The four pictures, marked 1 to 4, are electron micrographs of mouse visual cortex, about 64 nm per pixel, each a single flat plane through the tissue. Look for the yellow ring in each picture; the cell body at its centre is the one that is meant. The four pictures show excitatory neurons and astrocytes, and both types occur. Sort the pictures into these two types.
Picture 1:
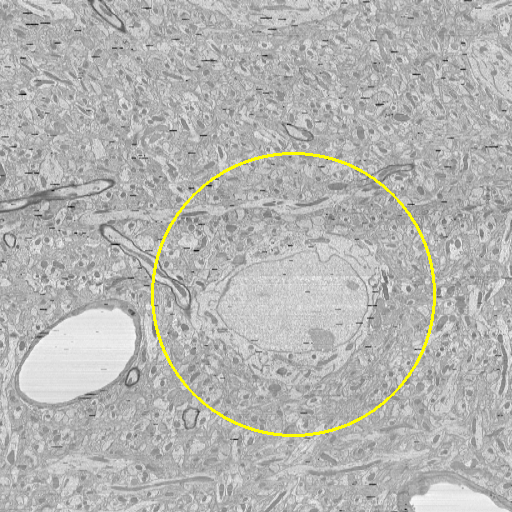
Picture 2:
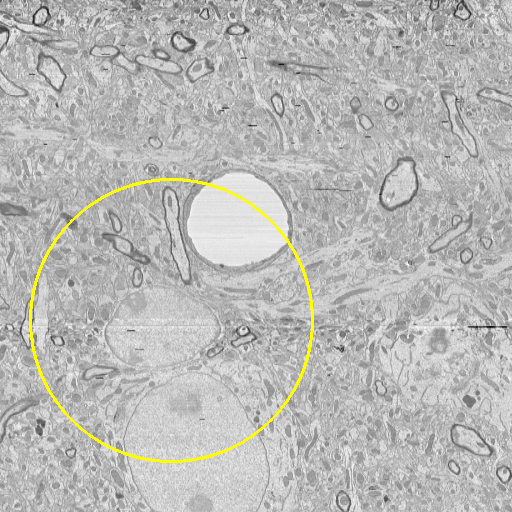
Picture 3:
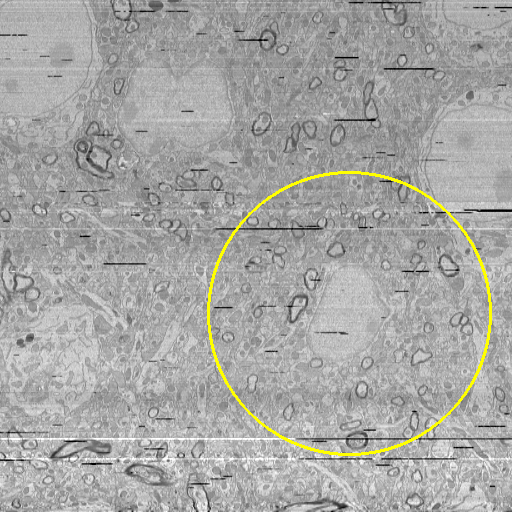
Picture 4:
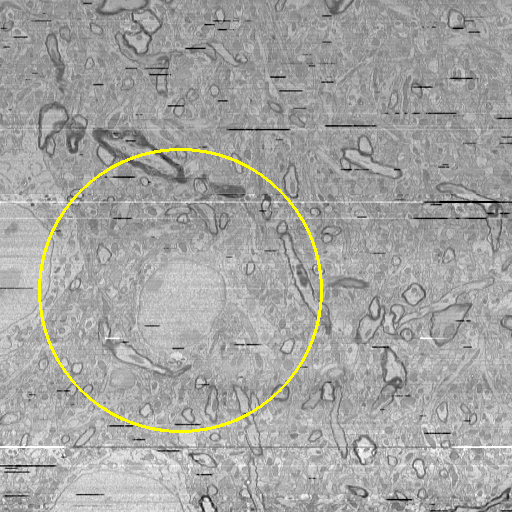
Picture 1 shows an excitatory neuron; pictures 2, 3 and 4 show astrocytes.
